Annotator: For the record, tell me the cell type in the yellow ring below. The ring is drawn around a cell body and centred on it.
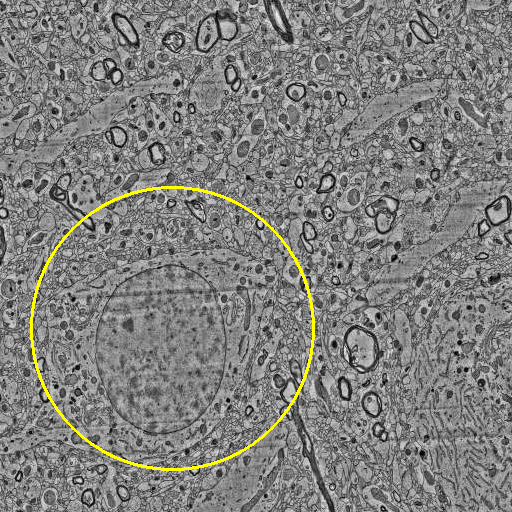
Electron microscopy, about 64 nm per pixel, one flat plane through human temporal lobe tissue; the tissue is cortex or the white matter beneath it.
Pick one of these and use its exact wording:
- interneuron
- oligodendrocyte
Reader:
interneuron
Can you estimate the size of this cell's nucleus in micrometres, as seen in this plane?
In this plane, approximately 11 by 8 micrometers.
